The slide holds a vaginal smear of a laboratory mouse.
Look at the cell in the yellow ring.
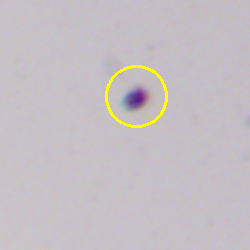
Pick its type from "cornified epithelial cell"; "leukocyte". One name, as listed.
leukocyte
